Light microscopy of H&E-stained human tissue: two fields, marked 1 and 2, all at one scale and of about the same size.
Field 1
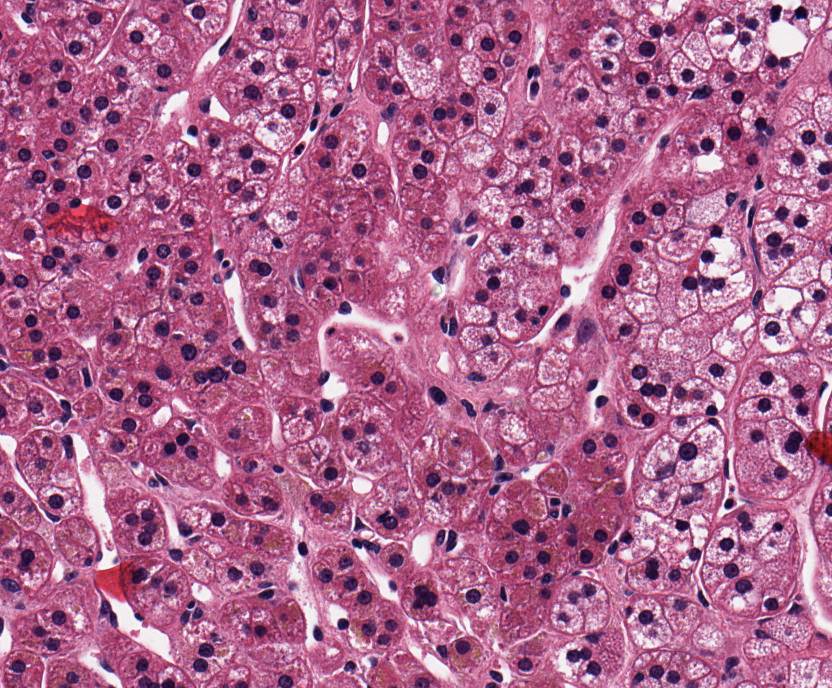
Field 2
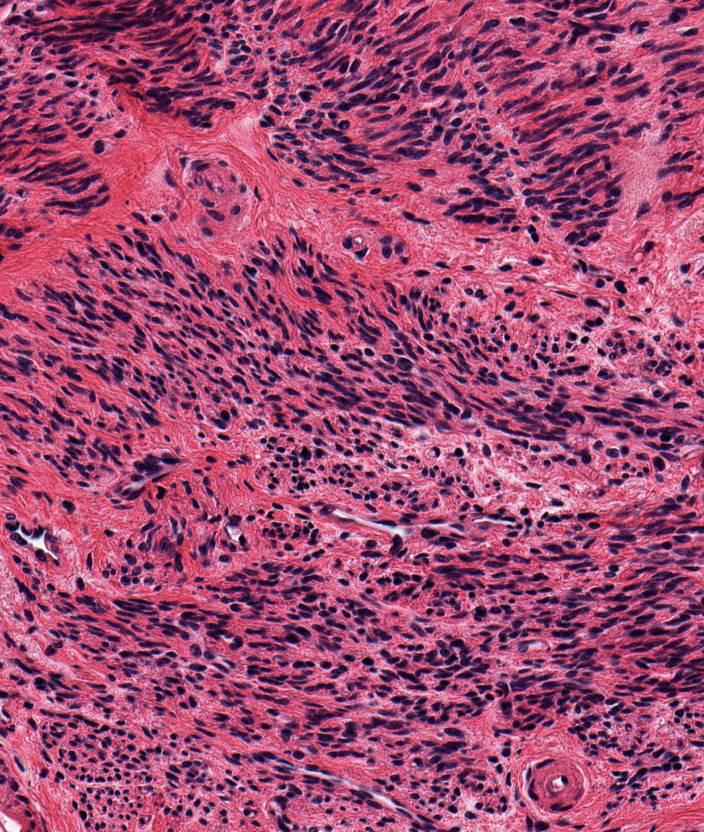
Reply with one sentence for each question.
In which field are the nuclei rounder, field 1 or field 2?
On the whole the nuclei of field 1 are rounder than those of field 2.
